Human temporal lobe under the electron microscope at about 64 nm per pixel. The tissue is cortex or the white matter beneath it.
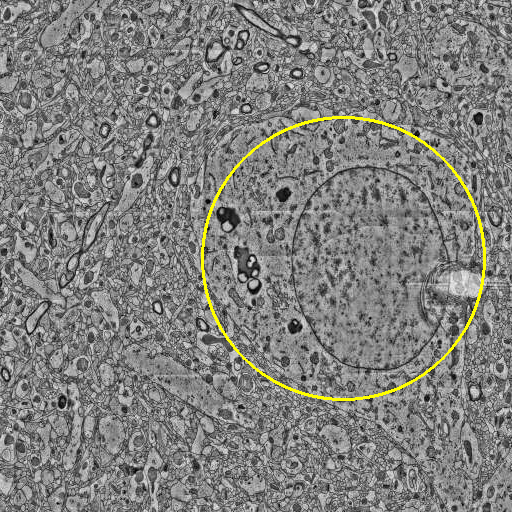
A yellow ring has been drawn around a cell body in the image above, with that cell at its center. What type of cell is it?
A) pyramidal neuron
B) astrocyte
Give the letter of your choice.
A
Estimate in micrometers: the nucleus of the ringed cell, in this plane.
In this plane, the nucleus of the cell at the centre of the ring measures about 13 by 11 micrometres.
